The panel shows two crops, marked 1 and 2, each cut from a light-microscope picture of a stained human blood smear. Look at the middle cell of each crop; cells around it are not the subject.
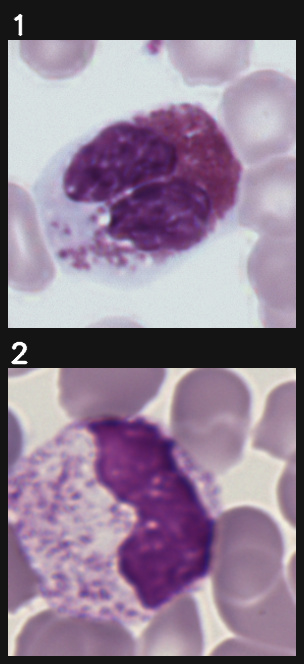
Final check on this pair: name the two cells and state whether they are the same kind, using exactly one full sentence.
No, crop 1 corresponds to an eosinophil, while crop 2 corresponds to a band neutrophil.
